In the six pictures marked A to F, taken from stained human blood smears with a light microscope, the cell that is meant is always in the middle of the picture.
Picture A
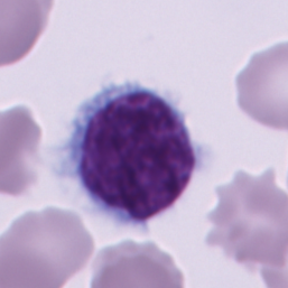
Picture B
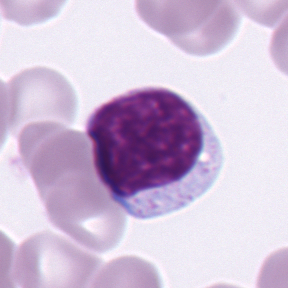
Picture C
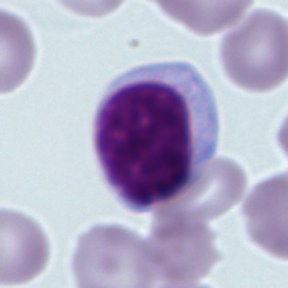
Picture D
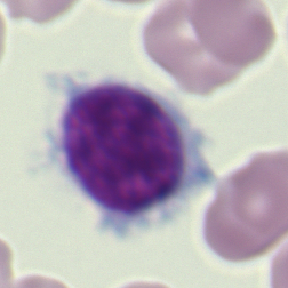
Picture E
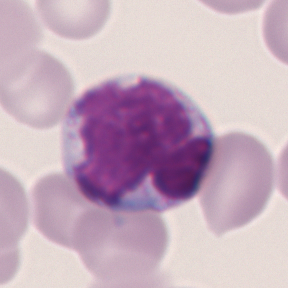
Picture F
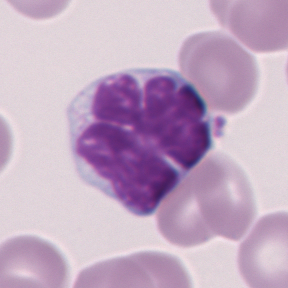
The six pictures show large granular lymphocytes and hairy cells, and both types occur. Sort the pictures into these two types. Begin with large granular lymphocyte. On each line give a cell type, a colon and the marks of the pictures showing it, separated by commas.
large granular lymphocyte: B, C, E, F
hairy cell: A, D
